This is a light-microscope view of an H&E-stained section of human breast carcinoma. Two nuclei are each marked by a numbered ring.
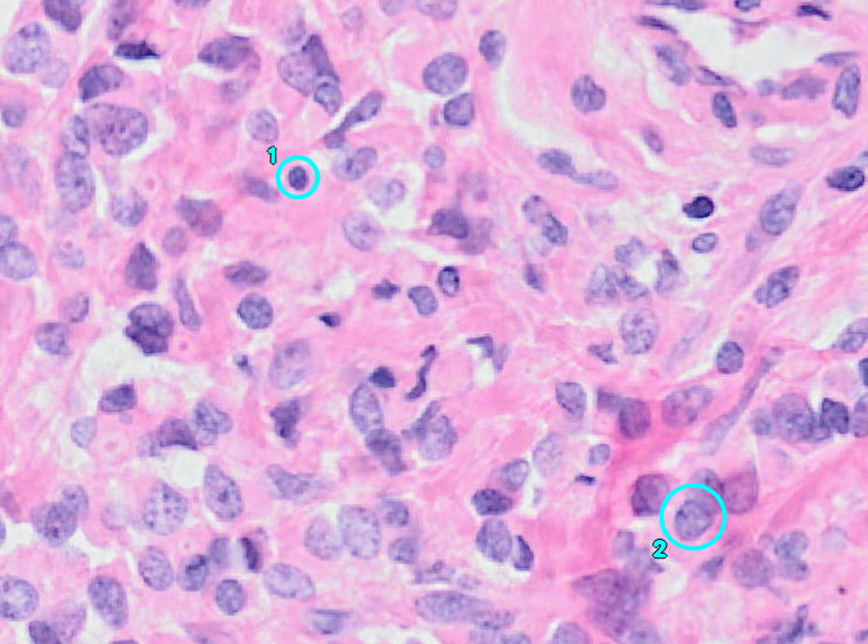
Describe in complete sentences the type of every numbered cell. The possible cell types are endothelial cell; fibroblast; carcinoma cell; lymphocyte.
Cell 1 is a lymphocyte and cell 2 is a carcinoma cell.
